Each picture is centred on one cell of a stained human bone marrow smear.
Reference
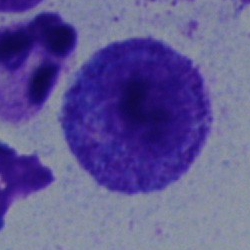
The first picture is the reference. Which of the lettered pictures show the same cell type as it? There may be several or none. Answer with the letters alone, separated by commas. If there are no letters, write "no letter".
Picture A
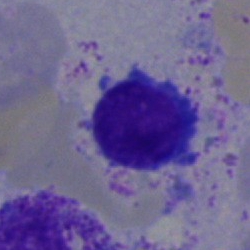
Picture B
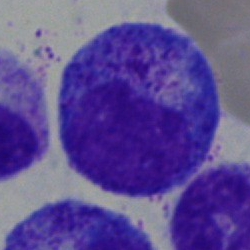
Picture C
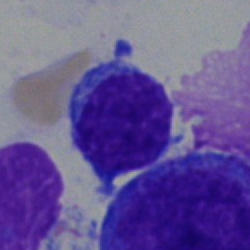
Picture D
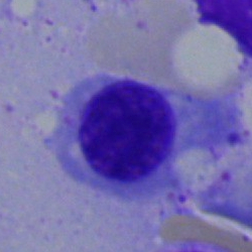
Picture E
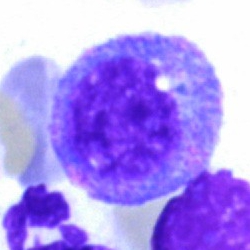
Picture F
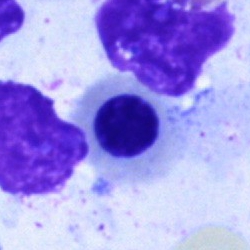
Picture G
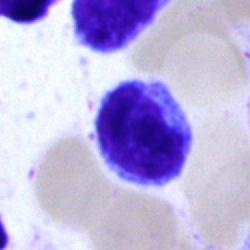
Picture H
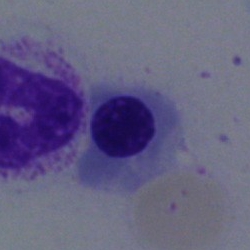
B, E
